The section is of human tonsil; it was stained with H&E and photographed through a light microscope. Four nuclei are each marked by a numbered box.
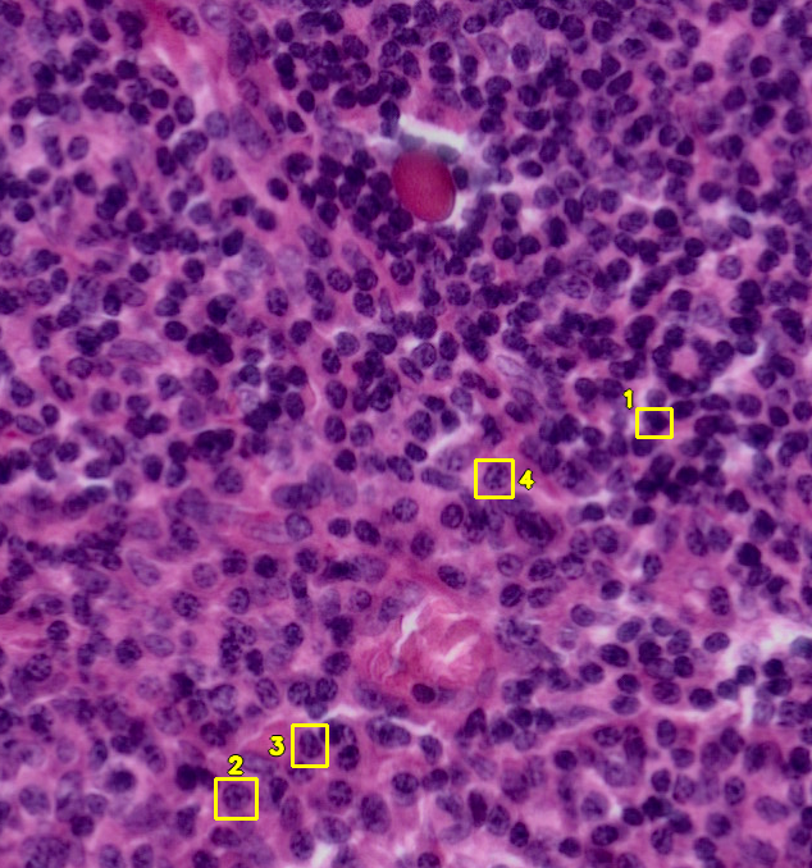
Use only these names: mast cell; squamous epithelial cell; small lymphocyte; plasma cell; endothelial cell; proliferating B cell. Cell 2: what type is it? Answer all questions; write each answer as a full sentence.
The marked cell bearing number 2 is a plasma cell.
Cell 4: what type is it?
The cell pointed out by number 4 is a plasma cell.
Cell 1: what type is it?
As for number 1, that cell is a small lymphocyte.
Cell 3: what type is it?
Cell 3 in the field of view is a plasma cell.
